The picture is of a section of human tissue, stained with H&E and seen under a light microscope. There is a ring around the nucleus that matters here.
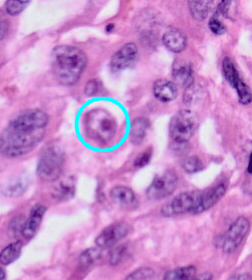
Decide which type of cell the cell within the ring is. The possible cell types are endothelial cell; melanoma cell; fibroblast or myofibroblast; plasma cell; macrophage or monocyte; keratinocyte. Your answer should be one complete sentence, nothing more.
For the purposes of cell typing, the cell within the ring is categorized as a melanoma cell.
